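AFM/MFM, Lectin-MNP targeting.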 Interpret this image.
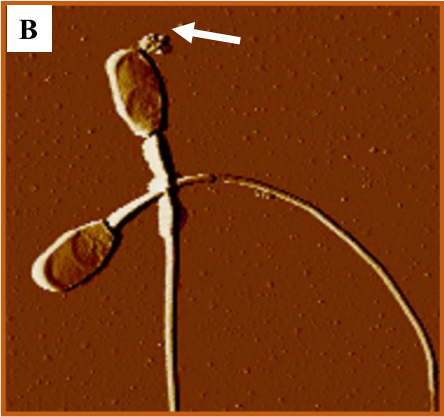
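Surface image of two spermatozoa, each with a flattened paddle-shaped head, a thicker midpiece and a long slender tail. A small granular cluster sits at the tip of one head.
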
